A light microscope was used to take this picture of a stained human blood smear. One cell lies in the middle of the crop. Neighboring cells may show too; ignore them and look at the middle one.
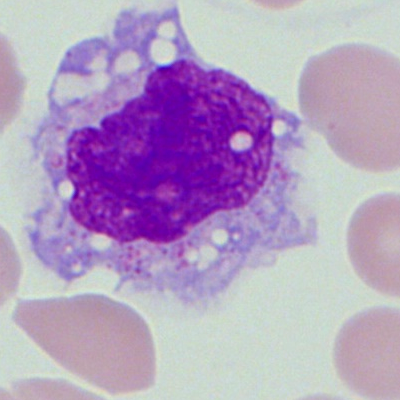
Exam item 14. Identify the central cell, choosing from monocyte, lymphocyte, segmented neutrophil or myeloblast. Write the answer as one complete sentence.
Of the cells in this crop, the central one is a monocyte.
